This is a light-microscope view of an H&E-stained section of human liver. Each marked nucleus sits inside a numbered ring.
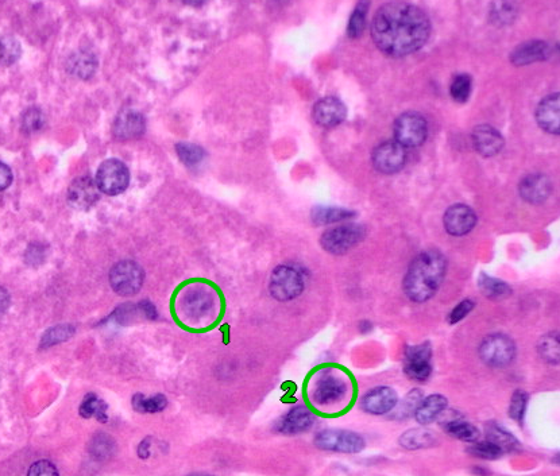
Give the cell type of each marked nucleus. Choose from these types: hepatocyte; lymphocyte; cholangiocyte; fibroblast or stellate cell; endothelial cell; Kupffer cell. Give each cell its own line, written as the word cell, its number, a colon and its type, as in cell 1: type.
cell 1: hepatocyte
cell 2: fibroblast or stellate cell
